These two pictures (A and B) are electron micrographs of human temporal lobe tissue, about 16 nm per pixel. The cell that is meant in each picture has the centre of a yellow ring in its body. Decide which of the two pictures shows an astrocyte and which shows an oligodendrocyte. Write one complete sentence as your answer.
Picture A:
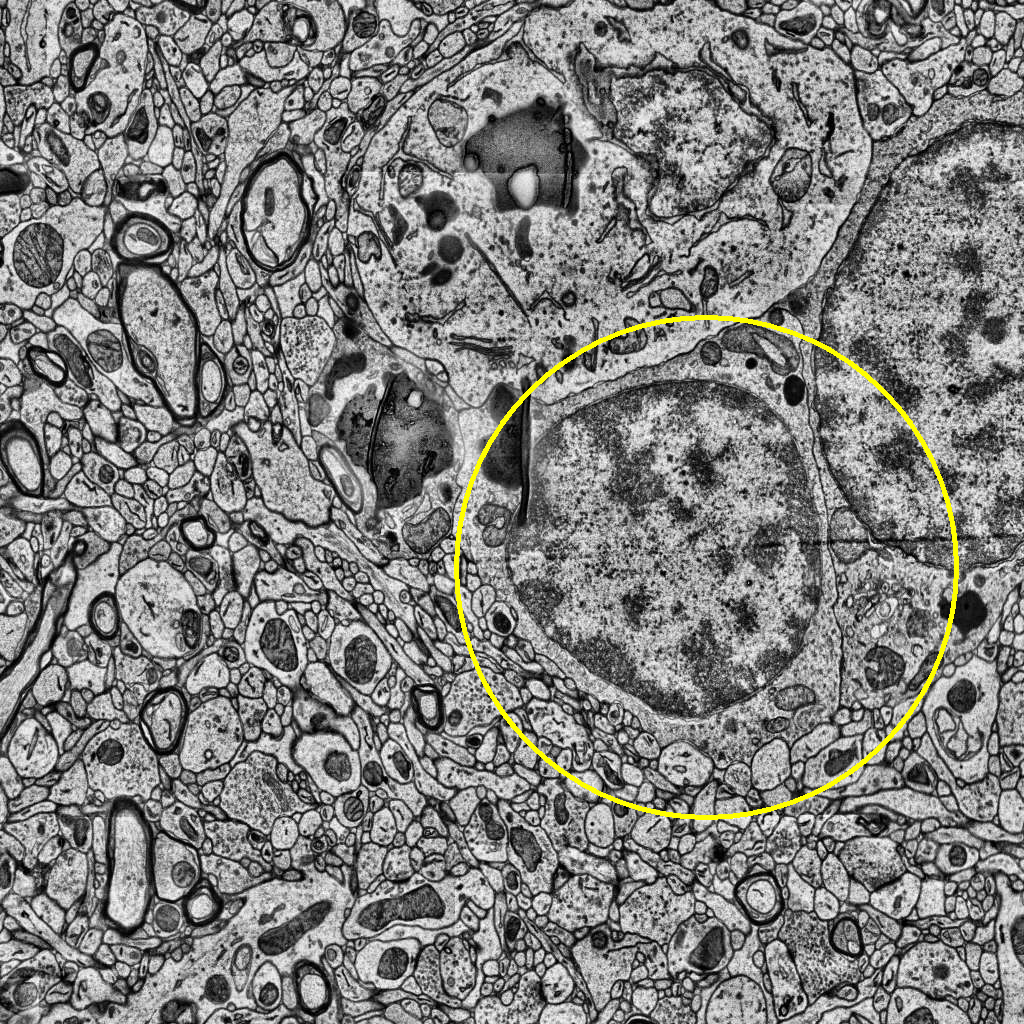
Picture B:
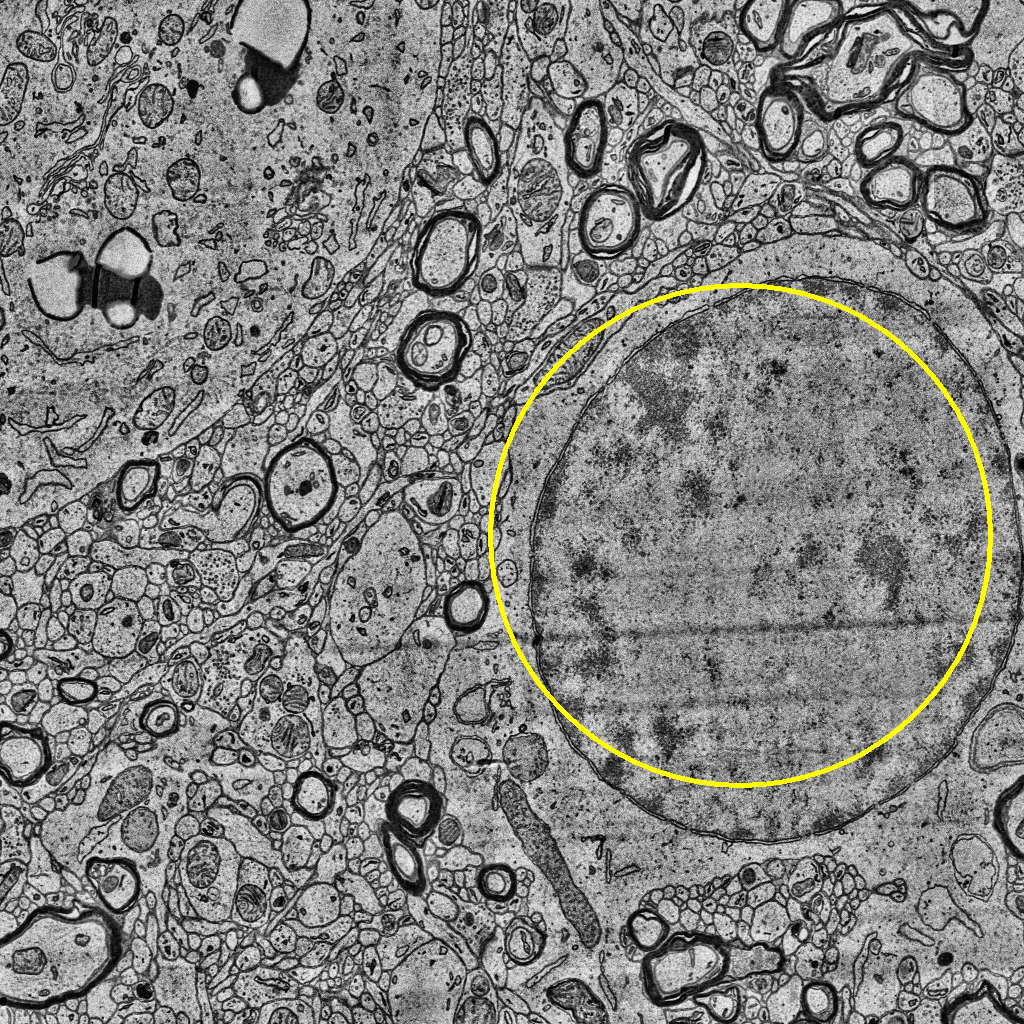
Picture A is of an oligodendrocyte, and picture B is of an astrocyte.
